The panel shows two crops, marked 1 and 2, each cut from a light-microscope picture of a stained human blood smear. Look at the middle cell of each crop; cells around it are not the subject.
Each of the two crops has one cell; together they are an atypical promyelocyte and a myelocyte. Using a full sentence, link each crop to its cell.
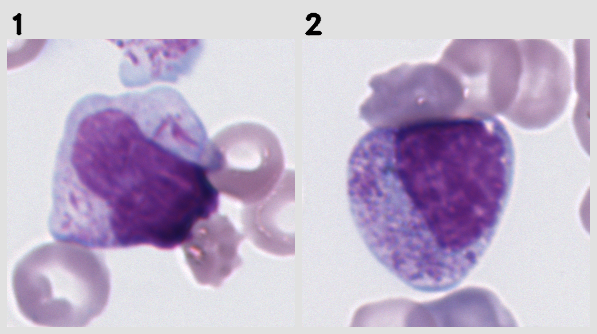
Crop 1 corresponds to an atypical promyelocyte, and crop 2 corresponds to a myelocyte.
